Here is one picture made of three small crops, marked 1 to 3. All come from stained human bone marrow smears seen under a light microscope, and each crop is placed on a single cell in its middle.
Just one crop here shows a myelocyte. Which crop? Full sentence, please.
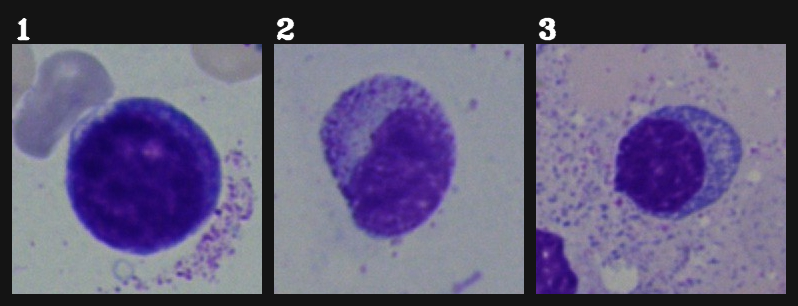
Crop 2 is the single crop that shows a myelocyte.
